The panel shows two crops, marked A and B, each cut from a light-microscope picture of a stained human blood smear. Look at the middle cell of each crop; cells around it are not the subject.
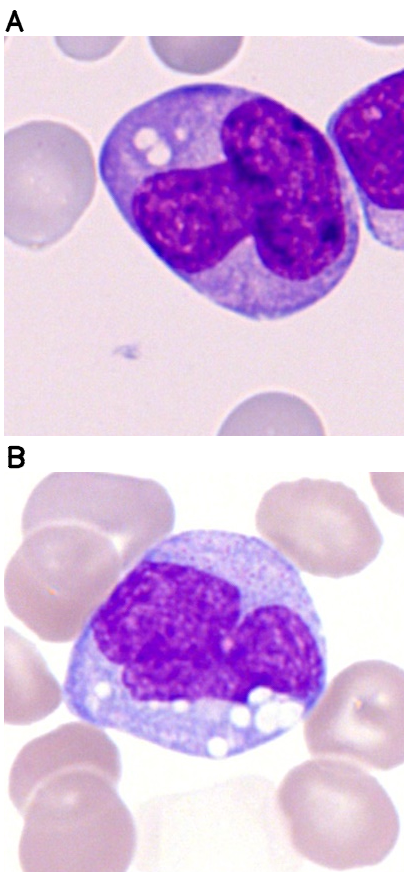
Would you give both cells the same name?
yes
